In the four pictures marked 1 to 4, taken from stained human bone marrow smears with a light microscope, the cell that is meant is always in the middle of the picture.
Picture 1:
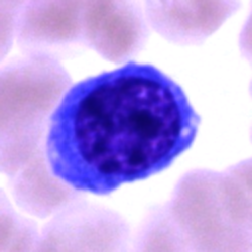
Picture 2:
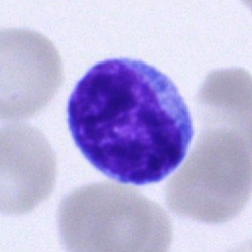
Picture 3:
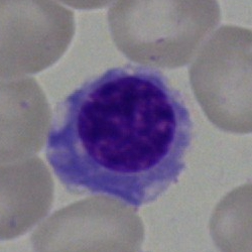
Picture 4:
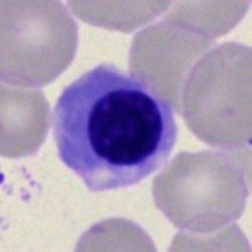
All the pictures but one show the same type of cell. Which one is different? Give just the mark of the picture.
2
